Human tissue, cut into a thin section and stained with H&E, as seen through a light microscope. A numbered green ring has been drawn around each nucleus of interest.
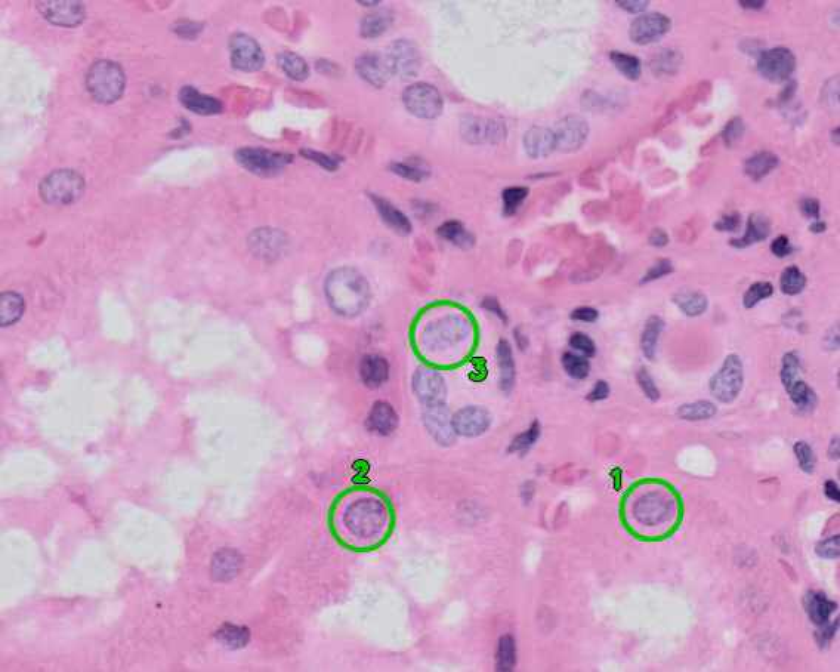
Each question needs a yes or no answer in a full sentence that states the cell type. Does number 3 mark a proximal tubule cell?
No, cell 3 is identified not as a proximal tubule cell but as a collecting duct cell.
